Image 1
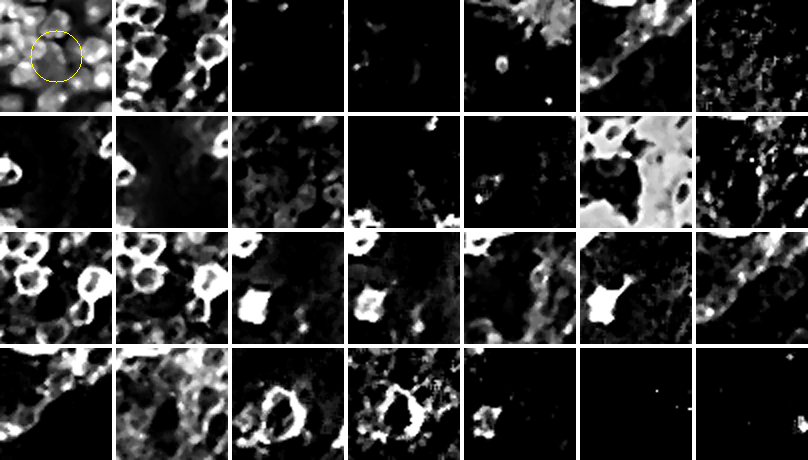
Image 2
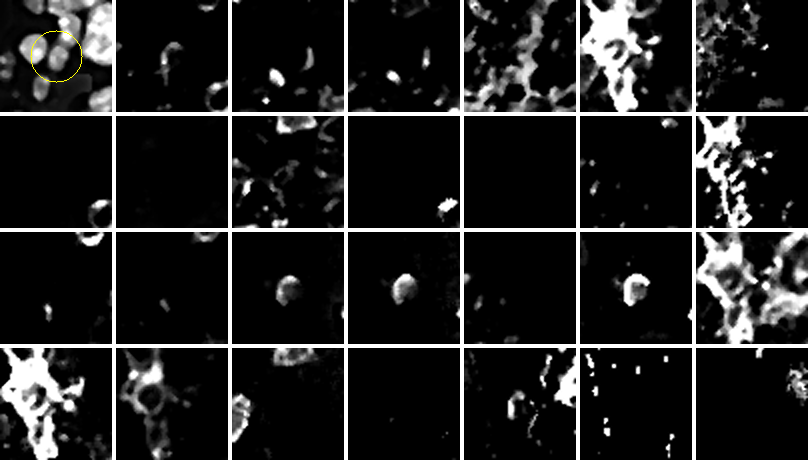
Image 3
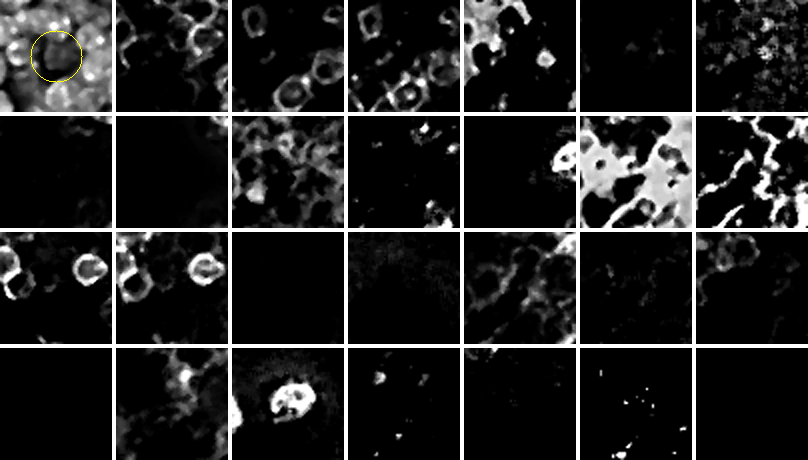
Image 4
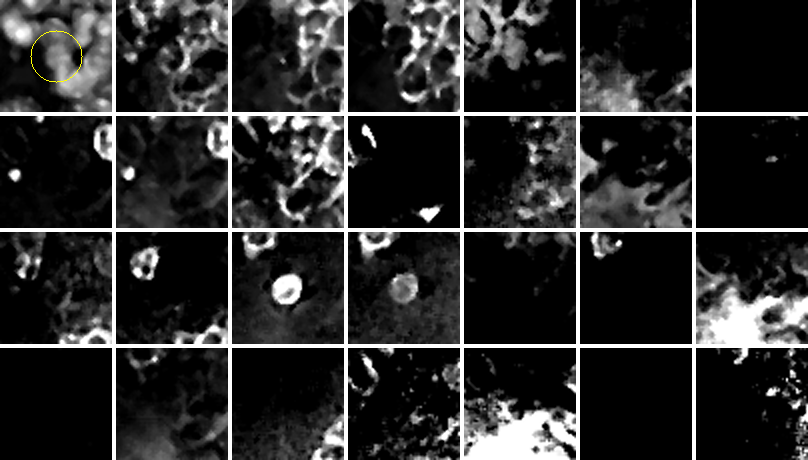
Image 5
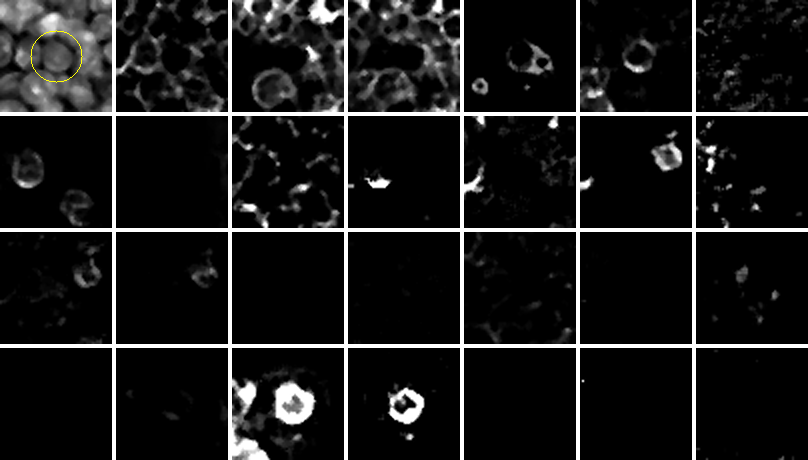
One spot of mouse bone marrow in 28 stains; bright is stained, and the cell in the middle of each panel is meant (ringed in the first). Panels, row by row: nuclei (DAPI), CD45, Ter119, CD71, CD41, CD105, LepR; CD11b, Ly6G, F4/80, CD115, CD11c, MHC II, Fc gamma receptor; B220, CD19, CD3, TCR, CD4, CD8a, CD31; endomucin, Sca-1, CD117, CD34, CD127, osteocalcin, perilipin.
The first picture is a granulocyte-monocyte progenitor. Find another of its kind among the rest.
Picture 3.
